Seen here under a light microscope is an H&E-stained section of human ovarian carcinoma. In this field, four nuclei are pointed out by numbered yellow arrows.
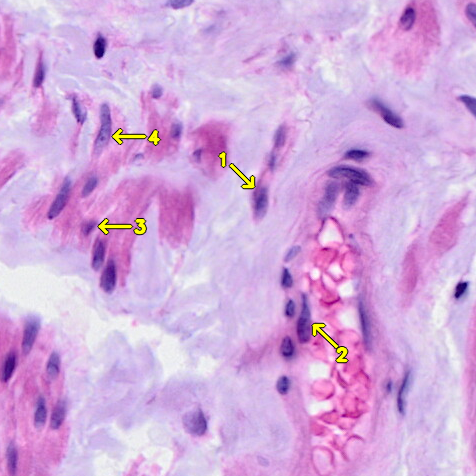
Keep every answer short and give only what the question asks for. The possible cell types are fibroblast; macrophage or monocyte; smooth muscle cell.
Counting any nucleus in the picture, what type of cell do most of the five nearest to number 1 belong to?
smooth muscle cell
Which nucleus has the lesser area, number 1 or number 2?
1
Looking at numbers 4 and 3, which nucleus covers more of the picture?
4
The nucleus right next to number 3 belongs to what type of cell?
smooth muscle cell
